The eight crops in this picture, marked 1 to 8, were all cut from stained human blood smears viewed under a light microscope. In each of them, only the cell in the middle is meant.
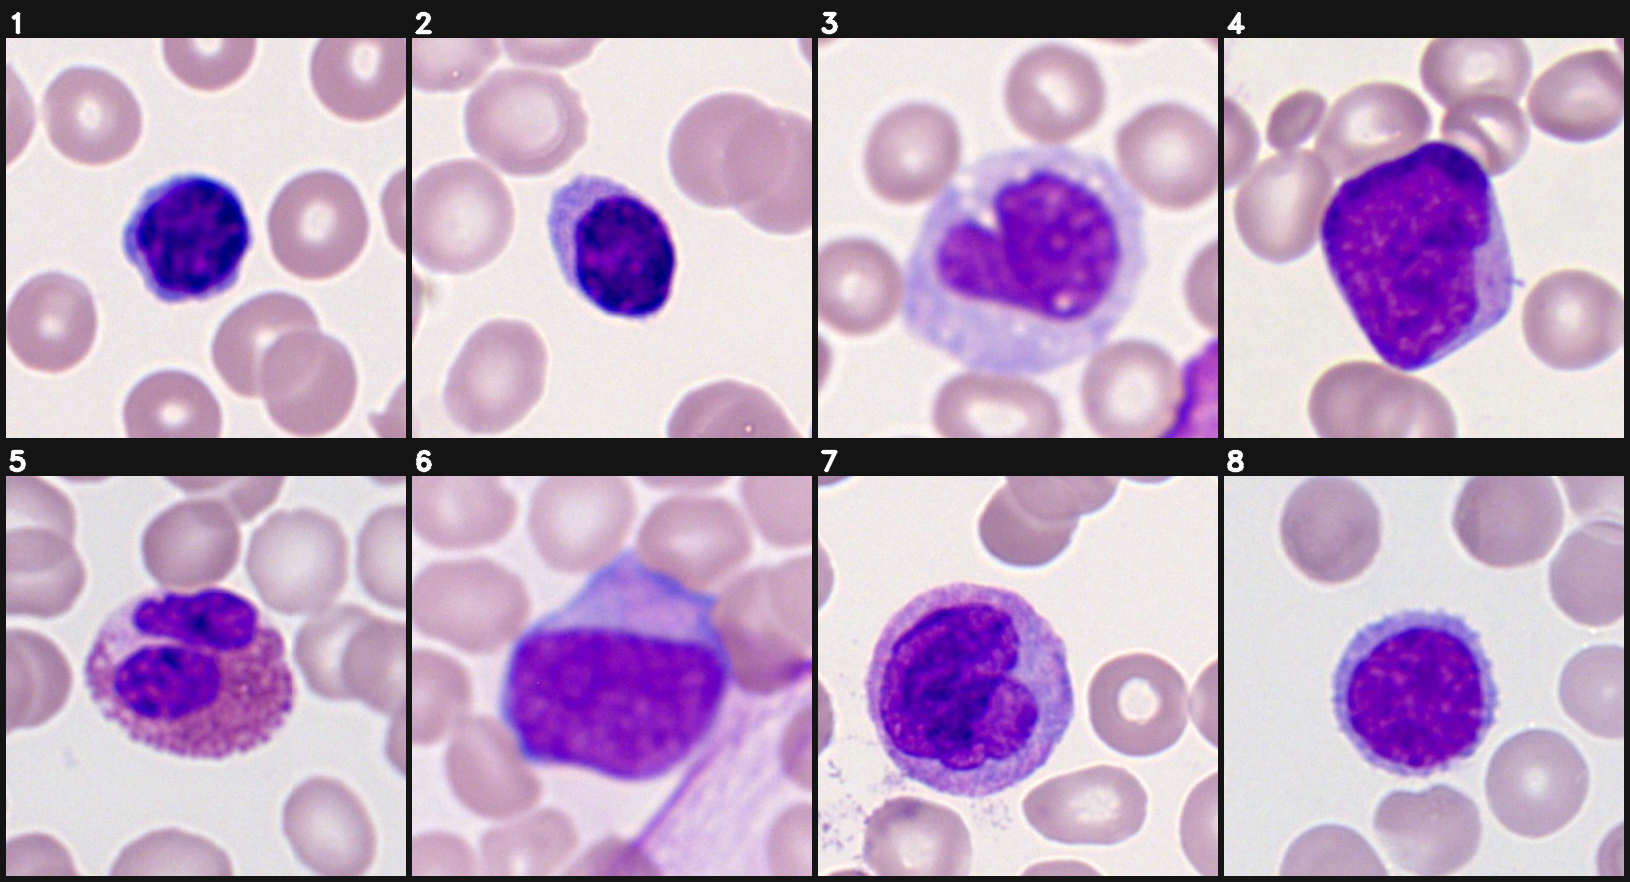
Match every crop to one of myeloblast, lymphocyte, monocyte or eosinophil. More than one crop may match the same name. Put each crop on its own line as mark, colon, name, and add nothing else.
1: lymphocyte
2: lymphocyte
3: monocyte
4: myeloblast
5: eosinophil
6: myeloblast
7: monocyte
8: lymphocyte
